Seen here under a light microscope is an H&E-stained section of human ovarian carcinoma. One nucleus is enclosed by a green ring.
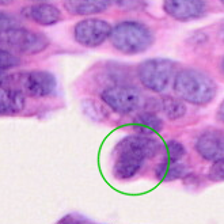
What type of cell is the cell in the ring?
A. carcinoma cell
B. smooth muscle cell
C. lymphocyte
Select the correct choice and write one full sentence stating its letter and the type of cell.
It is correct to say that the cell in the ring is a carcinoma cell, as option A does.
